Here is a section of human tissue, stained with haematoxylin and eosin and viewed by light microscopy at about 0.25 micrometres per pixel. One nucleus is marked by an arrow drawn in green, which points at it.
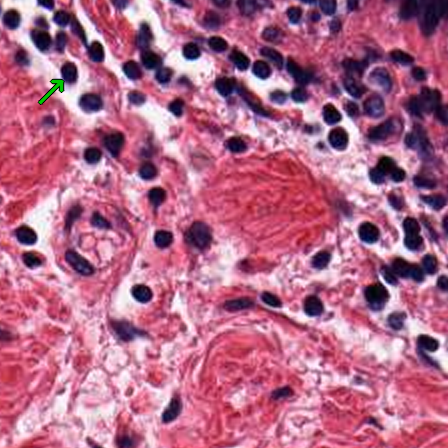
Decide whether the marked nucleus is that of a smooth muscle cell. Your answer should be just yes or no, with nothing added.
no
